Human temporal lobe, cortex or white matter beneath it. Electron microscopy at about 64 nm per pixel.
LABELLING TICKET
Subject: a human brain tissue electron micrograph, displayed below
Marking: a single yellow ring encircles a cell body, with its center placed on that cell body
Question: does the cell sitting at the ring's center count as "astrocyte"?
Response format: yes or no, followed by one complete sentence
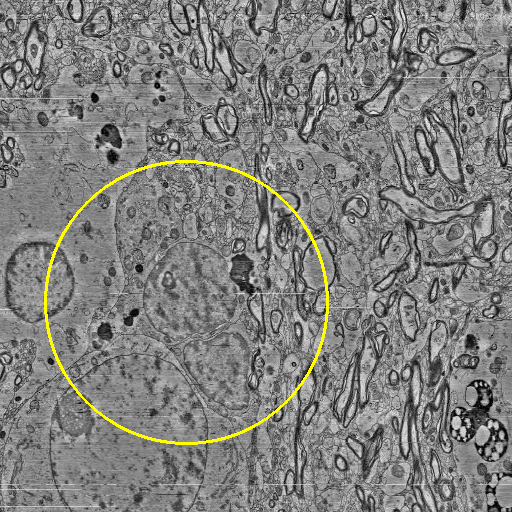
No, the cell at the center of the ring in the picture belongs to another kind.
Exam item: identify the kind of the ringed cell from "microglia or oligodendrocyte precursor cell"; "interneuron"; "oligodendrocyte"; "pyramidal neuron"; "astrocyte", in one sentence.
The ringed cell in this picture is, instead, an oligodendrocyte.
